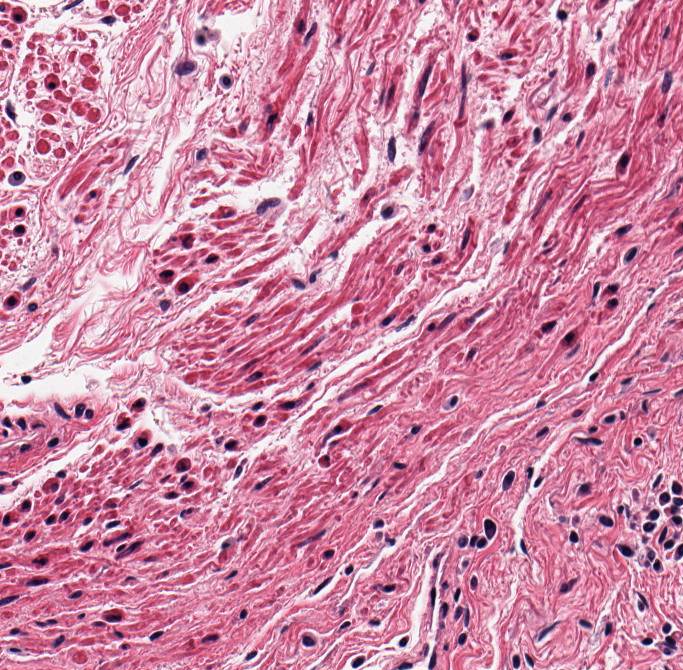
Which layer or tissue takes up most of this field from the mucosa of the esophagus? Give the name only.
smooth muscle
